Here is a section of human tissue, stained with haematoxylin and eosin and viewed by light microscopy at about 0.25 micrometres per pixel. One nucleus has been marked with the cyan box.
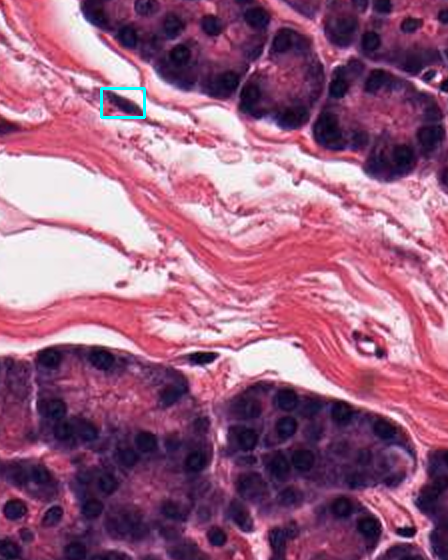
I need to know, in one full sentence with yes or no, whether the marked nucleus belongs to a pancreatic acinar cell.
No, a pancreatic acinar cell is not the cell of the marked nucleus; a supporting cell is.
